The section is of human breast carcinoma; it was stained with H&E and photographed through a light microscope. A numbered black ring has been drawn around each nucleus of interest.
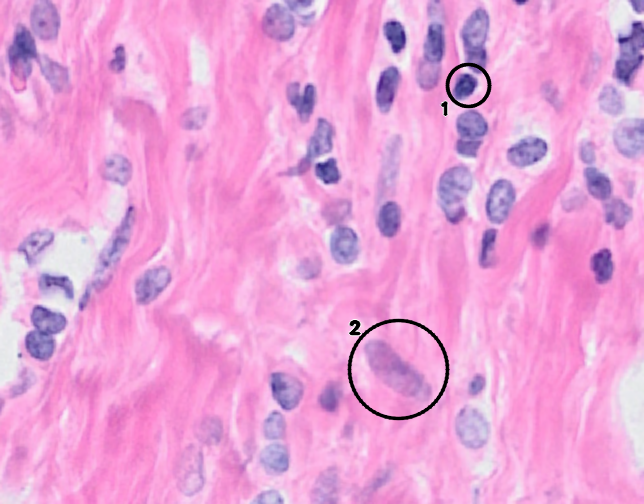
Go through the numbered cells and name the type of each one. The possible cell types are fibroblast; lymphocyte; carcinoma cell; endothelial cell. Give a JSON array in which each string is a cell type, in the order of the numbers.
["lymphocyte", "fibroblast"]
